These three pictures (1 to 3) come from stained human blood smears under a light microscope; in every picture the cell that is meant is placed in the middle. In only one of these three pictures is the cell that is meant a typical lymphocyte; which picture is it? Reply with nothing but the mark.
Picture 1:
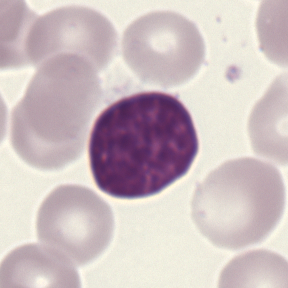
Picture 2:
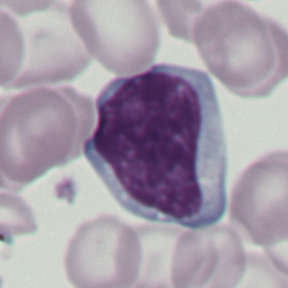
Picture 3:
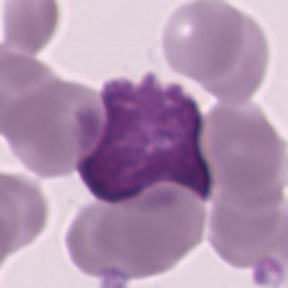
2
